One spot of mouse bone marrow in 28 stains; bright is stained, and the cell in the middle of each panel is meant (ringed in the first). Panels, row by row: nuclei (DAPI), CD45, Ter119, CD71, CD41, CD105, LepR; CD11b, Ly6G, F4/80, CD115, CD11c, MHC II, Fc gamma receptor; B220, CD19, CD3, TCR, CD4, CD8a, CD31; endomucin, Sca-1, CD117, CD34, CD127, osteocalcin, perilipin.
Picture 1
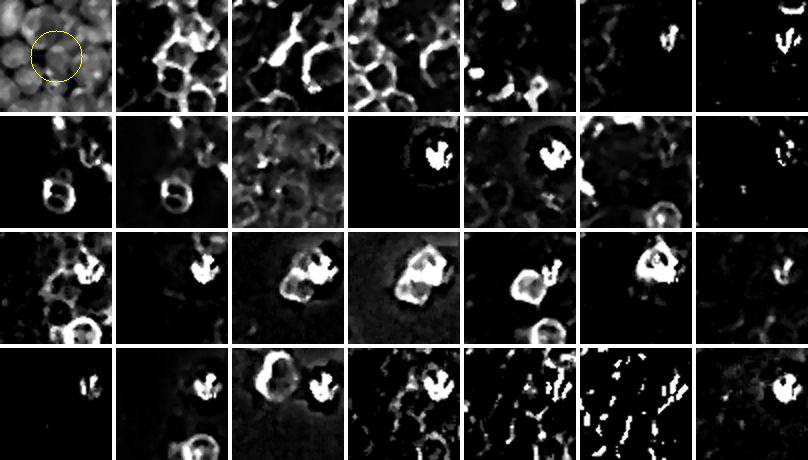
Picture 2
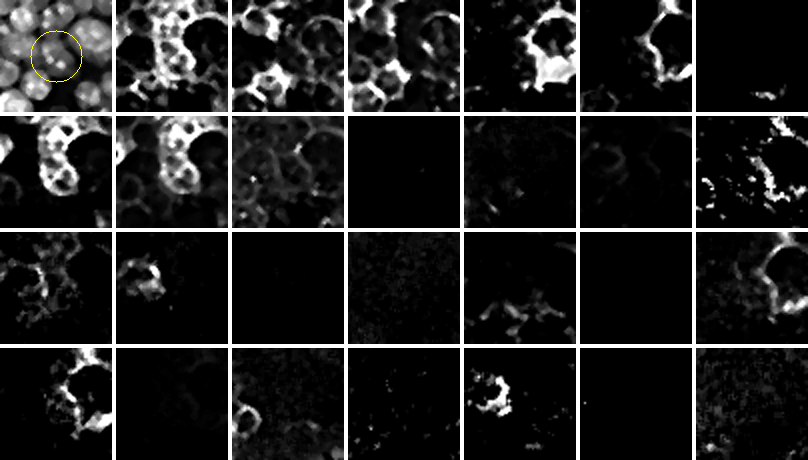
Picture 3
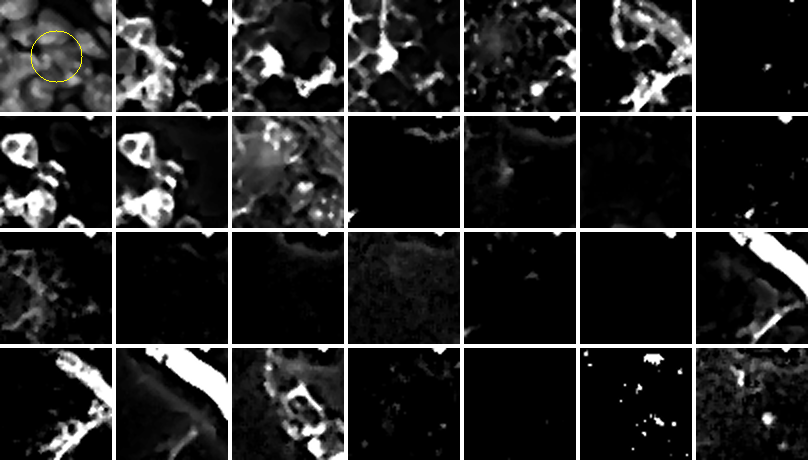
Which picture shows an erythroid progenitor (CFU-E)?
Picture 3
